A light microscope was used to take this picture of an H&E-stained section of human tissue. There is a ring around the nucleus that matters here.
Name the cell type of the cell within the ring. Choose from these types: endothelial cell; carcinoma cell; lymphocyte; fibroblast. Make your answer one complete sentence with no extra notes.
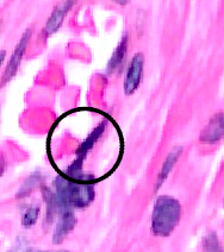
In cellular terms, the cell within the ring is an endothelial cell.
